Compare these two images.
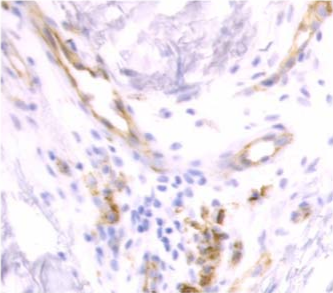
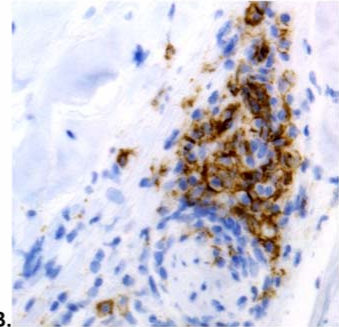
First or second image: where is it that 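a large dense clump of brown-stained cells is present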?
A: The second image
